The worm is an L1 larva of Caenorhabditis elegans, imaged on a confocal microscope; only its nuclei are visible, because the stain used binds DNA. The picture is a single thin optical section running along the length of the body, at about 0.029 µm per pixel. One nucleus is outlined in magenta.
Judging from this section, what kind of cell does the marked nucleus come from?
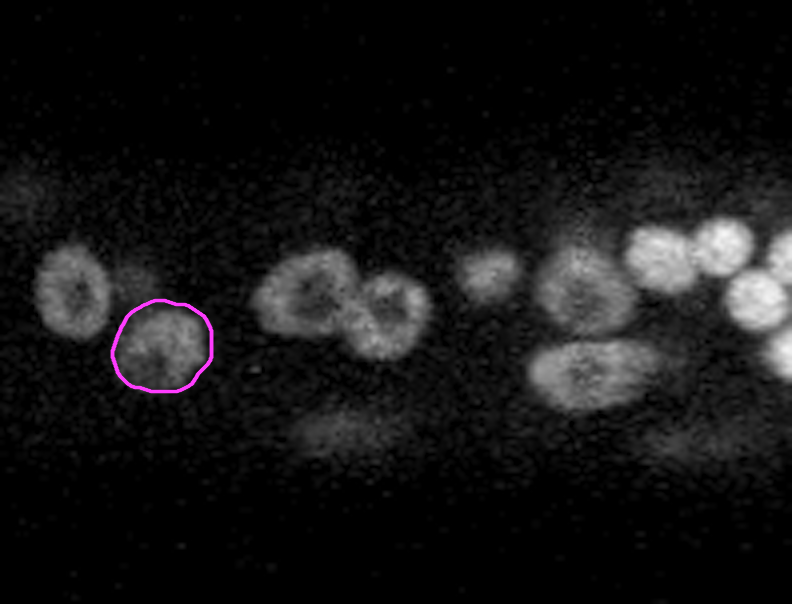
hypodermal cell (hyp)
